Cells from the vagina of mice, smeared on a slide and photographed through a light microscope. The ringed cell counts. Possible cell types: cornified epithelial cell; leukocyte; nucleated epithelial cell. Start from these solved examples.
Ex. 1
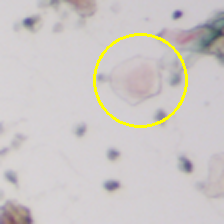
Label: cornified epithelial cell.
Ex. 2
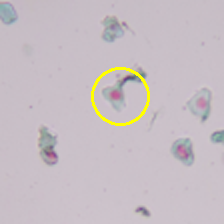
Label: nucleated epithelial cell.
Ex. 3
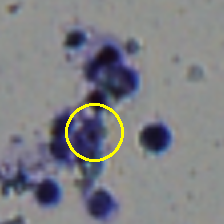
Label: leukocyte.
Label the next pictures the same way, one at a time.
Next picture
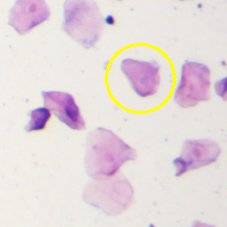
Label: cornified epithelial cell.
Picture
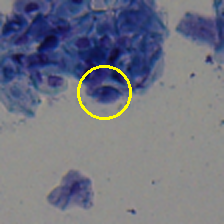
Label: nucleated epithelial cell.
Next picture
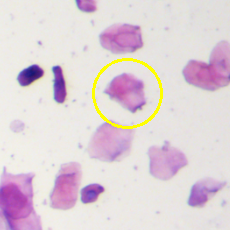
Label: cornified epithelial cell.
